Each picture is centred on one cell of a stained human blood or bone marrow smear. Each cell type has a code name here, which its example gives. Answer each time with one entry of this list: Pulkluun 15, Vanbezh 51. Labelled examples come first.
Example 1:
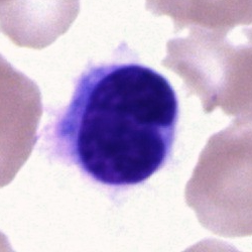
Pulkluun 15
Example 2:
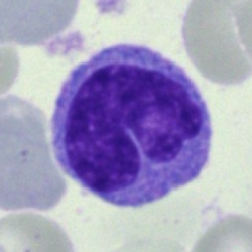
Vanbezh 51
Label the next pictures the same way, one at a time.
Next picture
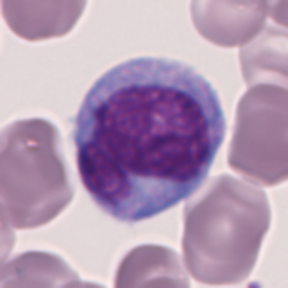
Vanbezh 51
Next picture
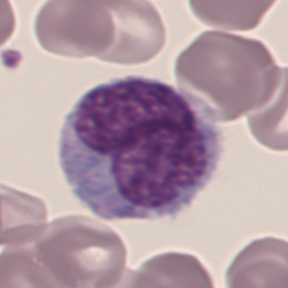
Vanbezh 51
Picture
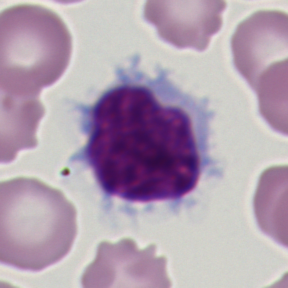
Pulkluun 15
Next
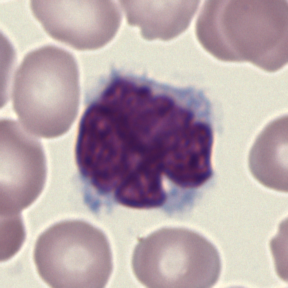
Vanbezh 51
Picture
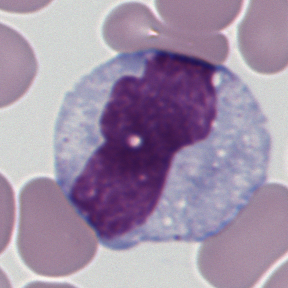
Vanbezh 51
